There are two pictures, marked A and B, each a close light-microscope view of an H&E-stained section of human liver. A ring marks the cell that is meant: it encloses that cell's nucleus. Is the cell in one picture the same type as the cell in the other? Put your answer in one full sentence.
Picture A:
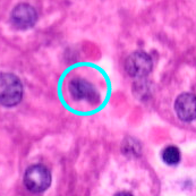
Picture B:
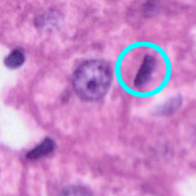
No, the types are not the same, since picture A shows an endothelial cell and picture B a “fibroblast or stellate cell”.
